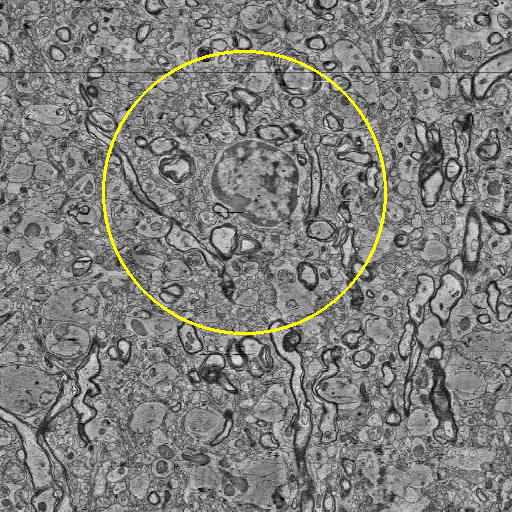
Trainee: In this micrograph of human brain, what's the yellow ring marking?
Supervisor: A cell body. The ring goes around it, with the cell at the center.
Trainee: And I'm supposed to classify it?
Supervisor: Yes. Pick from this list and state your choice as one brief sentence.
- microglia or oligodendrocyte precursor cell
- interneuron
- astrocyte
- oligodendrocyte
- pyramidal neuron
The cell at the ring's center is a microglial cell or oligodendrocyte precursor cell.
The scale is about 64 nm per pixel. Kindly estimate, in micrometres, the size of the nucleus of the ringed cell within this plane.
In this plane the ringed cell's nucleus is roughly 6 micrometres across.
